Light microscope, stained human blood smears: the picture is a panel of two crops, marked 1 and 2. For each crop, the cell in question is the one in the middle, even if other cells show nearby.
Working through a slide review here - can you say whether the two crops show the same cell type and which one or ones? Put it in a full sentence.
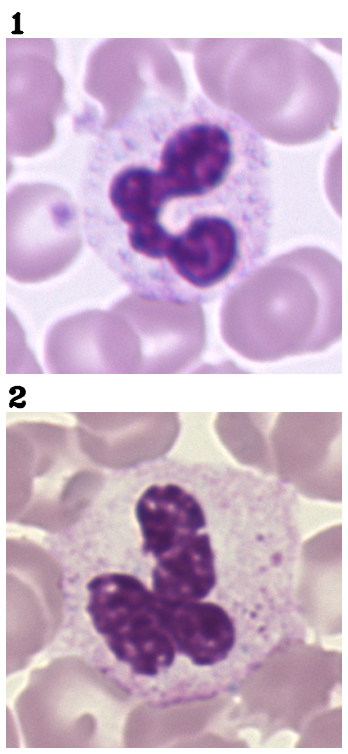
Yes, for both crops, the central cells are segmented neutrophils.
